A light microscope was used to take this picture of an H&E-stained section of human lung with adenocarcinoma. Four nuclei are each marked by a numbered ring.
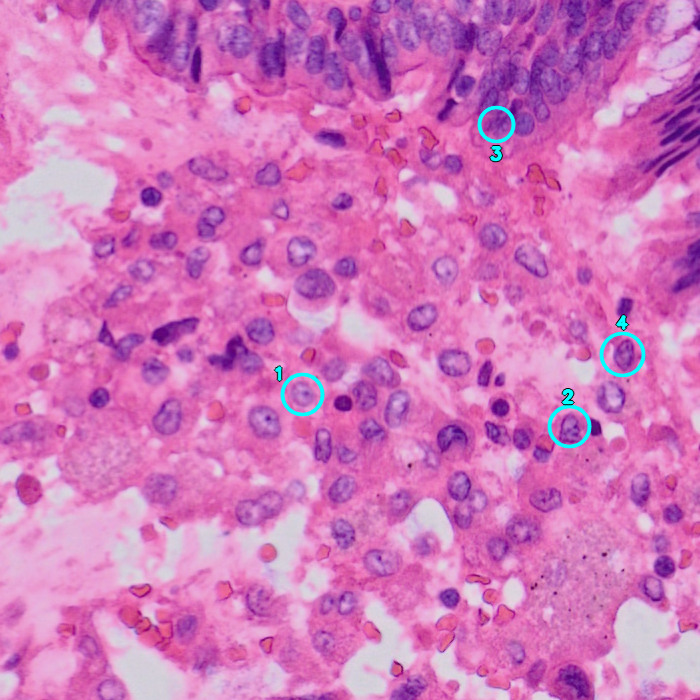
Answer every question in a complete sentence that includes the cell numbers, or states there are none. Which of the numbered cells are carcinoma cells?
The numbered cells, taken together, include no carcinoma cells.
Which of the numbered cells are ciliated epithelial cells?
Only the cell marked 3 is a ciliated epithelial cell.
